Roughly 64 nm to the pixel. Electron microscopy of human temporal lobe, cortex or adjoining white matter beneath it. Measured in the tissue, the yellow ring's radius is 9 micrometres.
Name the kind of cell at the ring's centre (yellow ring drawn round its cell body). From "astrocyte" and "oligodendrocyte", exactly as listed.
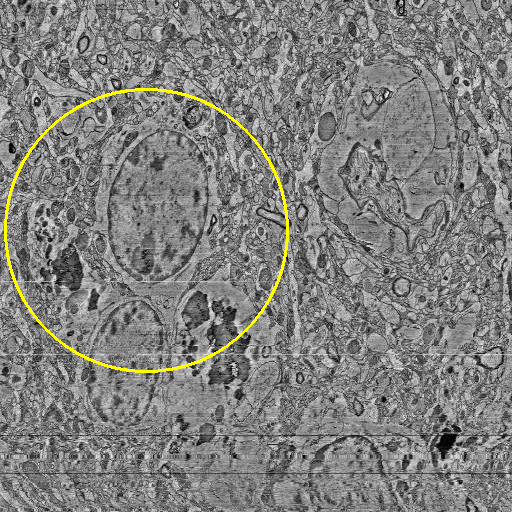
astrocyte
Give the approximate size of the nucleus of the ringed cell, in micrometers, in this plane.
Roughly 10 micrometres long and 6 micrometres wide; in this plane the nucleus is clearly longer than it is wide.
